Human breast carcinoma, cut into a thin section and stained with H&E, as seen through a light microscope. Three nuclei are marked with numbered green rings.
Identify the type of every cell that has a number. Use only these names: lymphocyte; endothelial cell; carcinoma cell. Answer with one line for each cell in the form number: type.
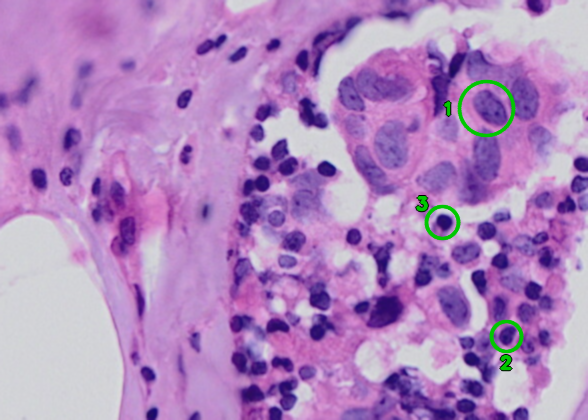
1: carcinoma cell
2: lymphocyte
3: lymphocyte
